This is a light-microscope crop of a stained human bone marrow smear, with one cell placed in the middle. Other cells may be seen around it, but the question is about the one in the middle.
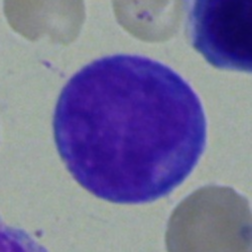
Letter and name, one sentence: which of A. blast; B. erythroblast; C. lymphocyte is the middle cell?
The cell at the heart of the crop is a blast, so choose option A.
